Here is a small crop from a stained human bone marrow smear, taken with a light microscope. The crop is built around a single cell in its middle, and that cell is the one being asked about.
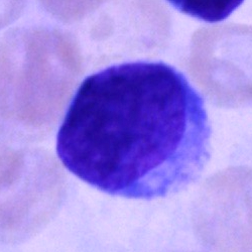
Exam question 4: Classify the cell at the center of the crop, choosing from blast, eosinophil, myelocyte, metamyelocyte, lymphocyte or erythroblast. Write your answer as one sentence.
Where the crop is centred, there is a blast.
